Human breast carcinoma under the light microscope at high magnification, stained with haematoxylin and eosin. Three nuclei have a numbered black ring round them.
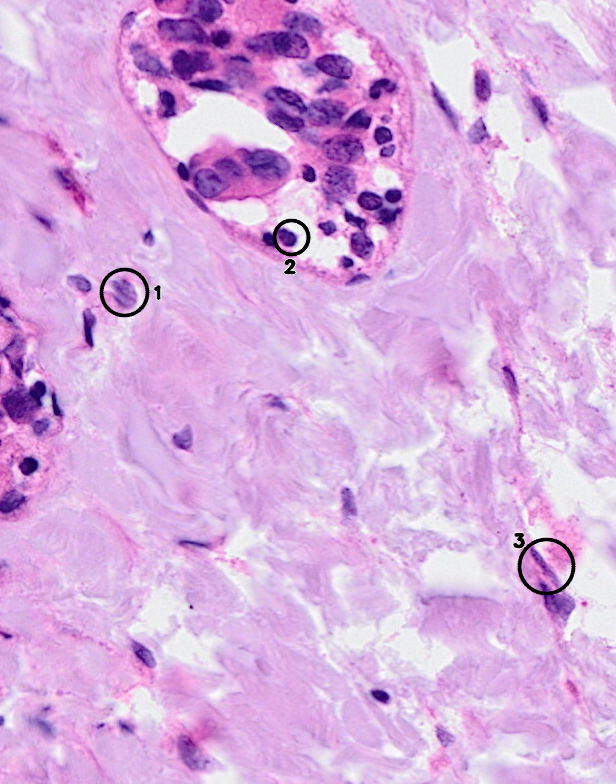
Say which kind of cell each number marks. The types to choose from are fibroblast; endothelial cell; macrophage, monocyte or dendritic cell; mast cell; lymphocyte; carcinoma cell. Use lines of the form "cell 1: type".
cell 1: fibroblast
cell 2: lymphocyte
cell 3: fibroblast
